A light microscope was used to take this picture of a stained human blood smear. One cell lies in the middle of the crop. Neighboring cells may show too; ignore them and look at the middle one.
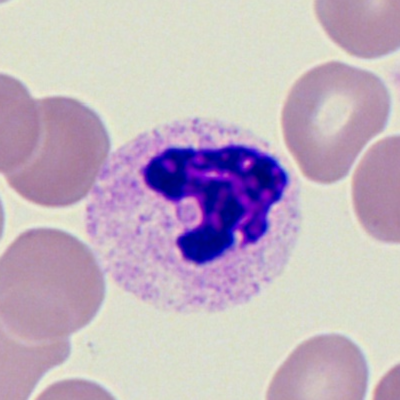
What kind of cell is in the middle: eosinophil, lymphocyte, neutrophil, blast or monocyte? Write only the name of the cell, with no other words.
neutrophil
